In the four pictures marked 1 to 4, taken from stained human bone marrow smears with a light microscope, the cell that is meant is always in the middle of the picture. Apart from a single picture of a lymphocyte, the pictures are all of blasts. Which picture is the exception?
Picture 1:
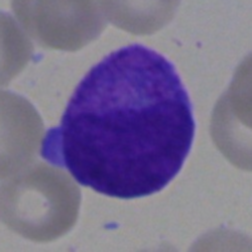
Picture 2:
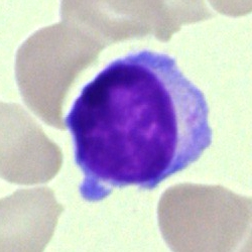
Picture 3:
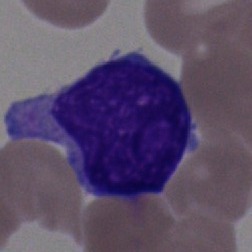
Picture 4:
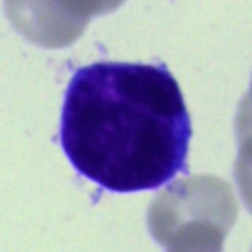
2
